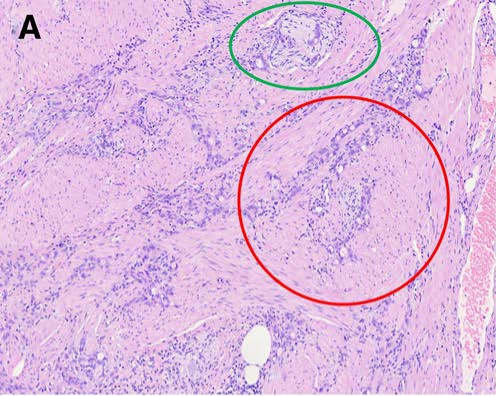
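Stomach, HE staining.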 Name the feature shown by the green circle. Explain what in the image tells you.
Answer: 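Nerves. The circle holds a small rounded bundle of wavy fibrous tissue. Small clusters of darker cells lie around and within the bundle.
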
